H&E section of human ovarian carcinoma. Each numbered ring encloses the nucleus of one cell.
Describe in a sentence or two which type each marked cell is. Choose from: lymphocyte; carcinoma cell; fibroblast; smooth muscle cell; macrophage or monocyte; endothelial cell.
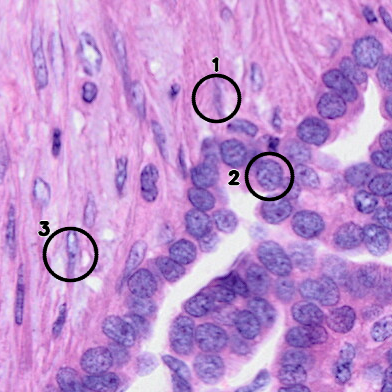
Cells 1 and 3 are fibroblasts. Cell 2 is a carcinoma cell.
